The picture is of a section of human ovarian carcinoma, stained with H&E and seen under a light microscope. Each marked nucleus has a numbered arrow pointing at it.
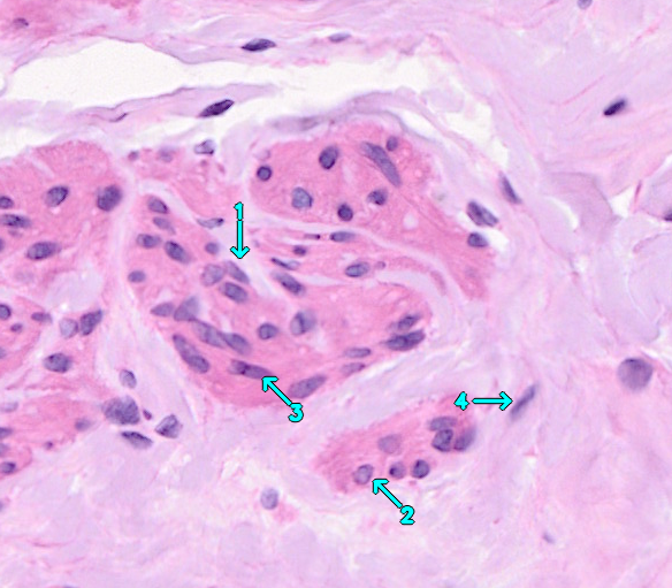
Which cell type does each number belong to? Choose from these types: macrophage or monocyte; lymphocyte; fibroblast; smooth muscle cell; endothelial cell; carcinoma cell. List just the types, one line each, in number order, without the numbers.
smooth muscle cell
smooth muscle cell
smooth muscle cell
fibroblast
